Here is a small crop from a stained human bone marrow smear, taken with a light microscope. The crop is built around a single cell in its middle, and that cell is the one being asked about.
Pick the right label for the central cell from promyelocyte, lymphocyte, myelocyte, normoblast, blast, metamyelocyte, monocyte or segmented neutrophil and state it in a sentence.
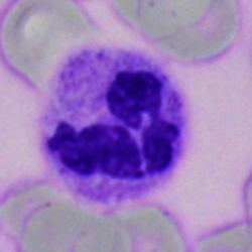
The single cell at the center of the crop is a segmented neutrophil.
